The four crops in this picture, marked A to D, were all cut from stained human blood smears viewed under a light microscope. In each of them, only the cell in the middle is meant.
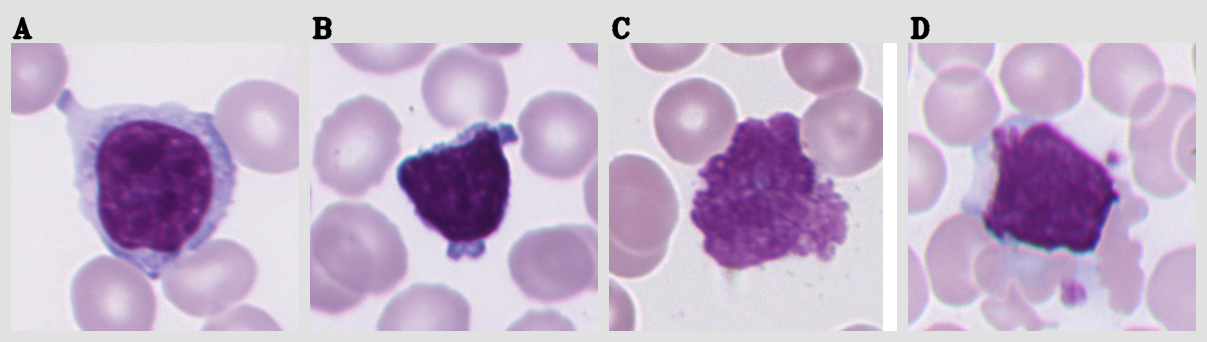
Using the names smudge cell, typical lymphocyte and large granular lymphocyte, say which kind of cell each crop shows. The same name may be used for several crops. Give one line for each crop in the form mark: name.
A: typical lymphocyte
B: typical lymphocyte
C: smudge cell
D: typical lymphocyte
